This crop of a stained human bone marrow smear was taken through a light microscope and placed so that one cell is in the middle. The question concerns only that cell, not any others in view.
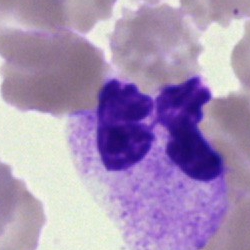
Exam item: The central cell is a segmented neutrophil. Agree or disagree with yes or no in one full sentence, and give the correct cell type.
Yes, the cell shown centrally is a segmented neutrophil.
